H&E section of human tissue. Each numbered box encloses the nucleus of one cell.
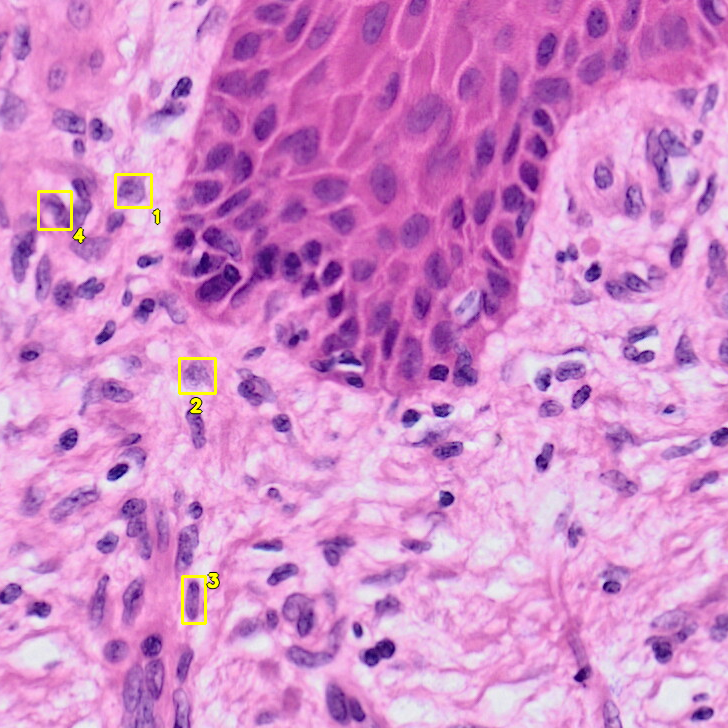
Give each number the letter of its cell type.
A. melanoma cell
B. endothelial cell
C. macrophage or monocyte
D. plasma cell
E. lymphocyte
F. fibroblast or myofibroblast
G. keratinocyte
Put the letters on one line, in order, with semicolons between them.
F; F; C; B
